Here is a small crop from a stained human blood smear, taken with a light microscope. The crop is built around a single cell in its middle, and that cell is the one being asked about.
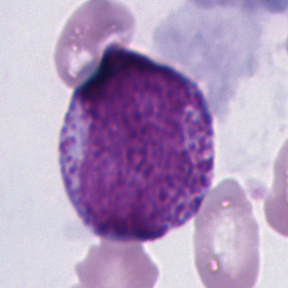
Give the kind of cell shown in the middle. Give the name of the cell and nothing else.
promyelocyte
